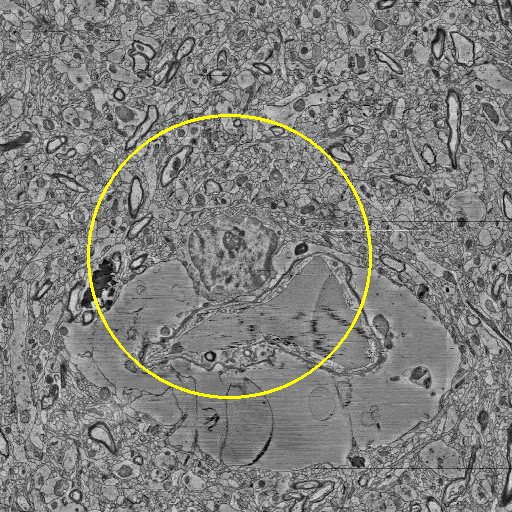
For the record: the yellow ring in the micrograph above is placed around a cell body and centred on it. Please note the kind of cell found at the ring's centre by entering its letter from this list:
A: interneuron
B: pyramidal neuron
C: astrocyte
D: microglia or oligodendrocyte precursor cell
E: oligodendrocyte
E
